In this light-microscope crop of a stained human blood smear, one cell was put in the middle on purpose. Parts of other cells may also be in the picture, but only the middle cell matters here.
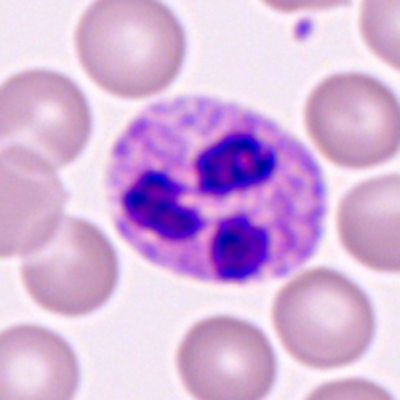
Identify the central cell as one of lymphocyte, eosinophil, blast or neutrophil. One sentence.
The cell around which this crop is centred is a neutrophil.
